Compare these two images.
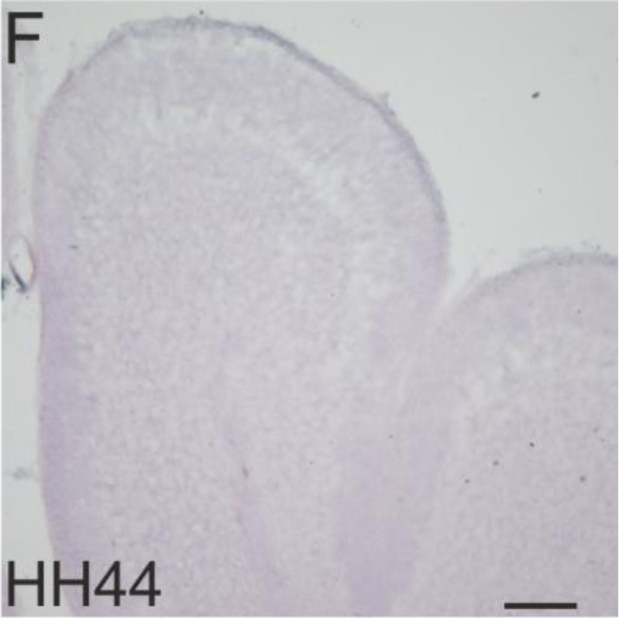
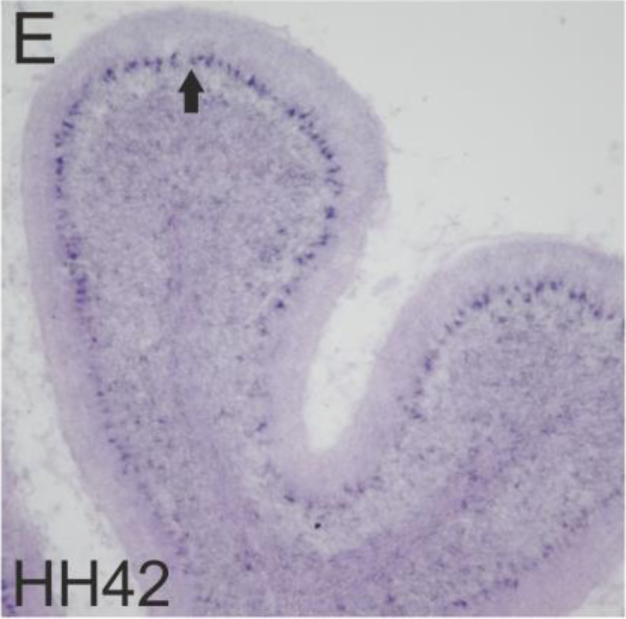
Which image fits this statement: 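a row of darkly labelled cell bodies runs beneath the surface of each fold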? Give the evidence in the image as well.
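First image: the folia are evenly pale with no labelled row. Second image: a distinct row of dark purple cells follows the contour of each folium.
Answer: the second image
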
